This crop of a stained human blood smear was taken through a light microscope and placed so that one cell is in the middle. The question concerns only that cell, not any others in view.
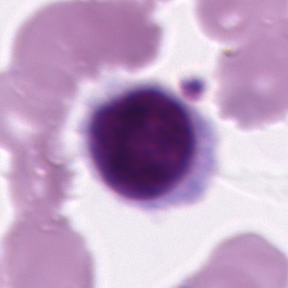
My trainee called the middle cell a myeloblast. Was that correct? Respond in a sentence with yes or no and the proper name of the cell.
No, instead of a myeloblast, the middle cell is a hairy cell.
